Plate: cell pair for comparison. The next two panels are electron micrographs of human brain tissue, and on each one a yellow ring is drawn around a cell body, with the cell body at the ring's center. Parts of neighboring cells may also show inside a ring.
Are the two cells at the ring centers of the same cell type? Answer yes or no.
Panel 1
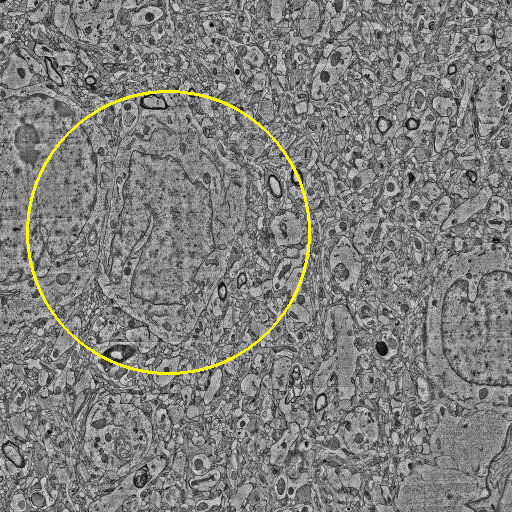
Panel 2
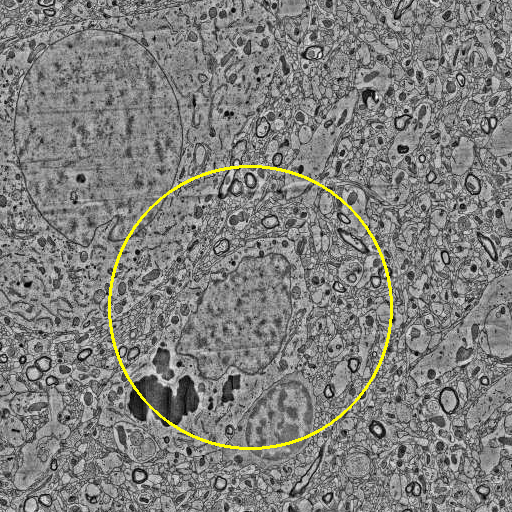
yes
